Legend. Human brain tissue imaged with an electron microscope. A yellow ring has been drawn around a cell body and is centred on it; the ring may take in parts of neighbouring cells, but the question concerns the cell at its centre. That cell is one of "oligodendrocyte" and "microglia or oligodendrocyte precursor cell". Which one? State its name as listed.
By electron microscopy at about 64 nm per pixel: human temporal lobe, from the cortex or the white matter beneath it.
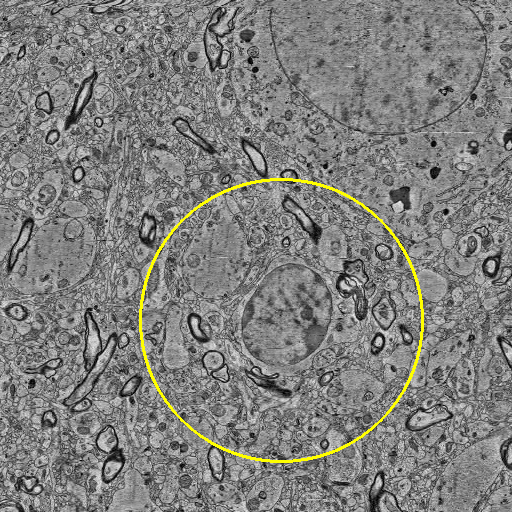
microglia or oligodendrocyte precursor cell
